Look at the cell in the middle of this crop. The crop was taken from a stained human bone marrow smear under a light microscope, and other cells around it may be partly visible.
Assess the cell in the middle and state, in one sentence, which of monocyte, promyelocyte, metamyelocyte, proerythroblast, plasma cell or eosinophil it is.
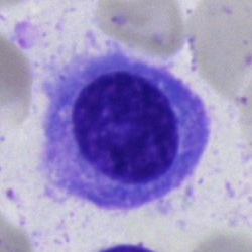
The cell nearest the centre of this crop is a plasma cell.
